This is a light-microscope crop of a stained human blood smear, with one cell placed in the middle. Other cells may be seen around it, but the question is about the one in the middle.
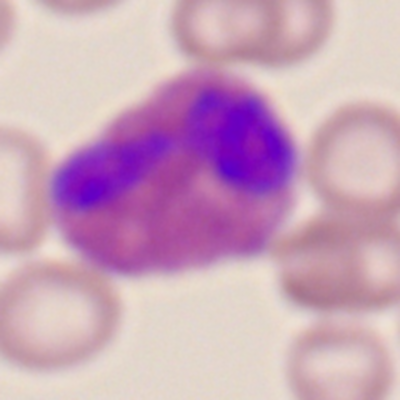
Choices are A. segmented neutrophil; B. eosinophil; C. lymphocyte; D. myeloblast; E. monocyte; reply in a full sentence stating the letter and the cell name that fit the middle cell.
Option B gives the correct identity of the central cell, namely an eosinophil.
